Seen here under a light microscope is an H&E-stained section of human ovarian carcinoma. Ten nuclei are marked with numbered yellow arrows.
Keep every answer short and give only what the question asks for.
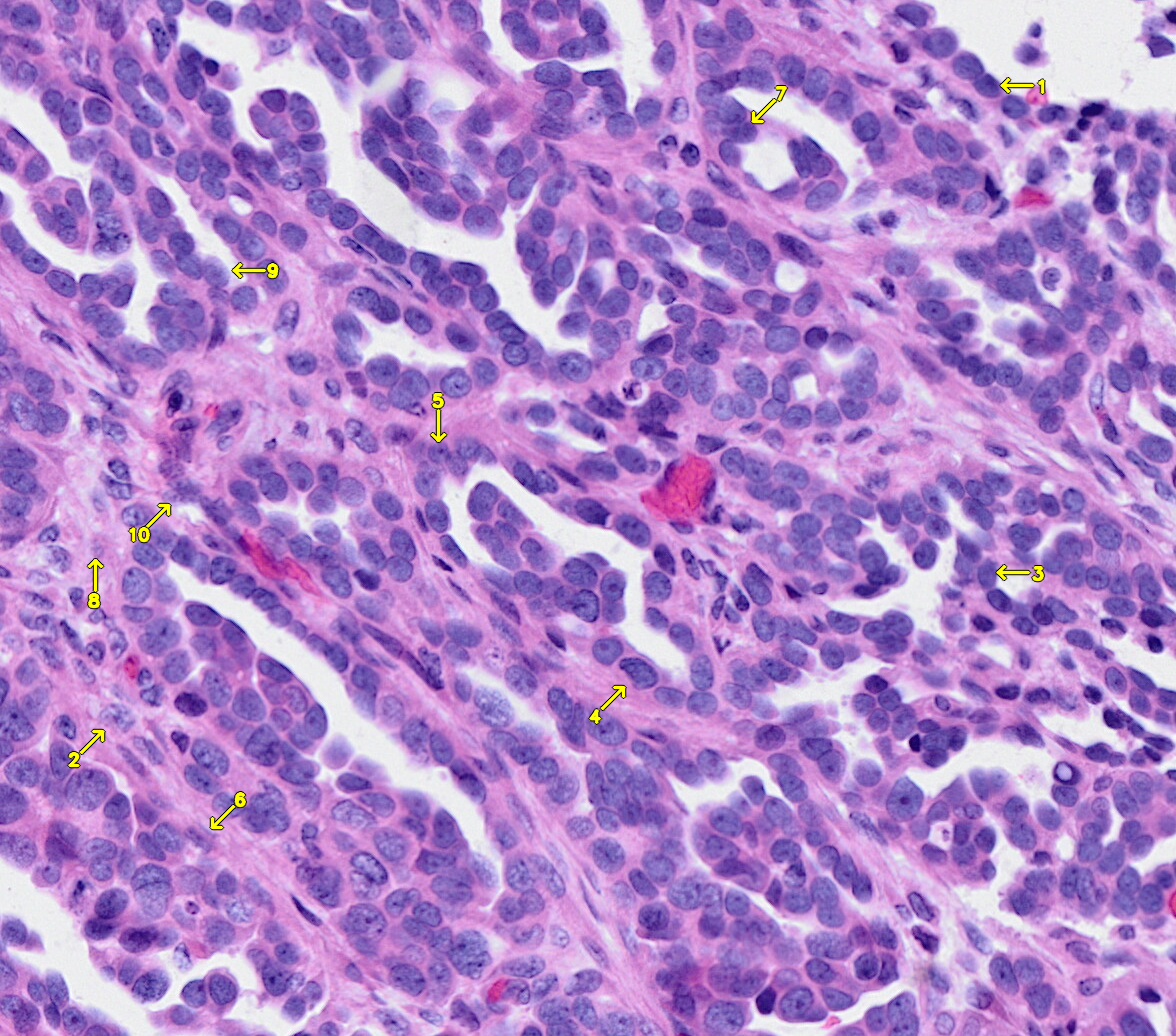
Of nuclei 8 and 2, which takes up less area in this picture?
8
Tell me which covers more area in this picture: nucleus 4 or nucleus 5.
4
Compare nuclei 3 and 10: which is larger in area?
10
